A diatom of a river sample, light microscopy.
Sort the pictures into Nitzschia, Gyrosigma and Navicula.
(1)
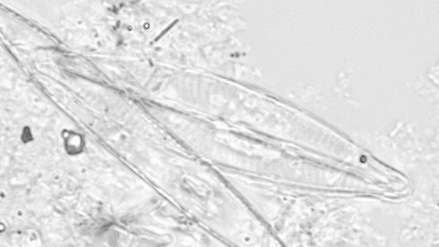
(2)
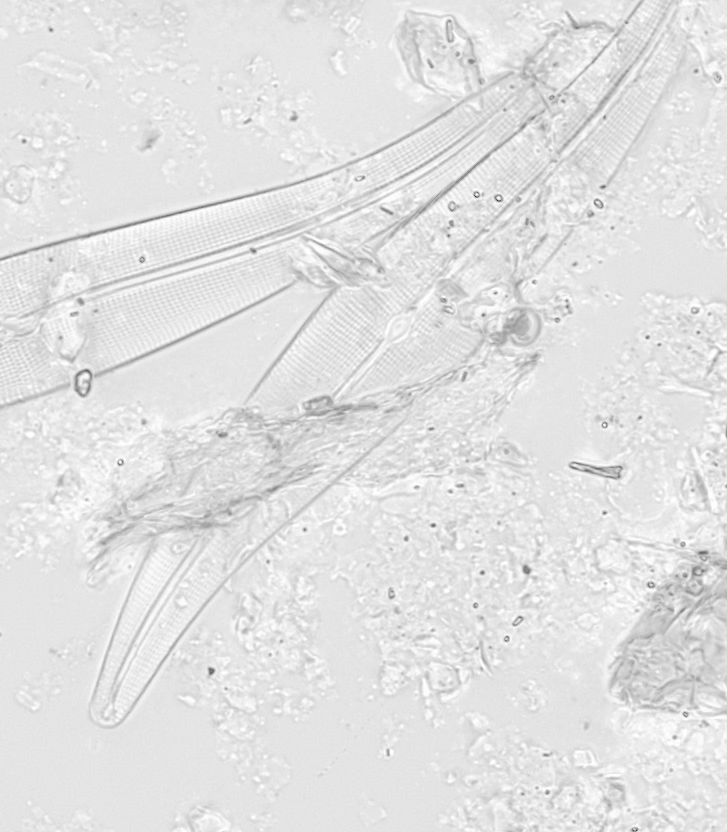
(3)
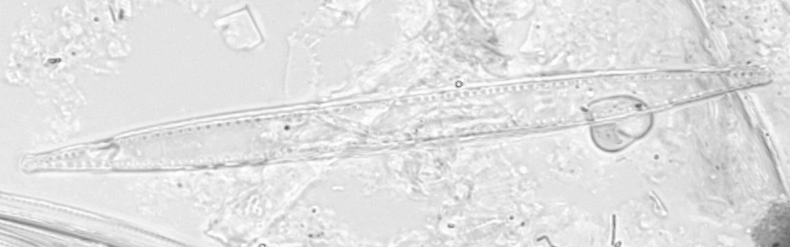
Navicula: 1
Gyrosigma: 2
Nitzschia: 3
